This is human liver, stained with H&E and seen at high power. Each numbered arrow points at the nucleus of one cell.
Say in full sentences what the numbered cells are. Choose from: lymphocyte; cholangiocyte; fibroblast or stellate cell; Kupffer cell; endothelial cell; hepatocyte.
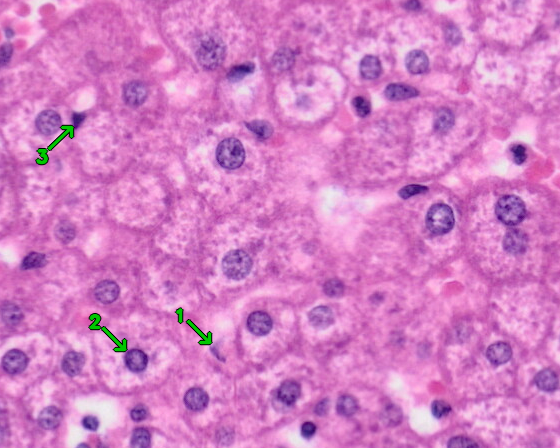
Cell 1 is an endothelial cell, cell 2 is a hepatocyte and cell 3 is a fibroblast or stellate cell.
